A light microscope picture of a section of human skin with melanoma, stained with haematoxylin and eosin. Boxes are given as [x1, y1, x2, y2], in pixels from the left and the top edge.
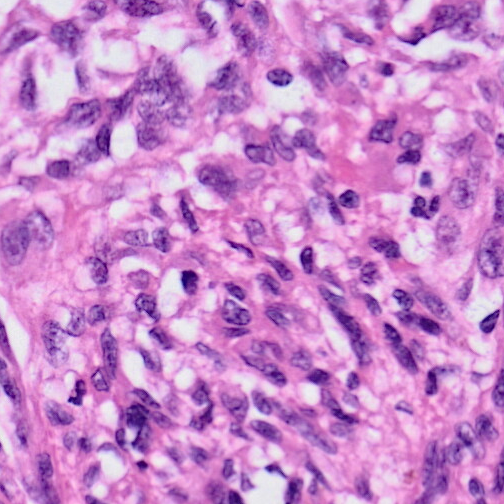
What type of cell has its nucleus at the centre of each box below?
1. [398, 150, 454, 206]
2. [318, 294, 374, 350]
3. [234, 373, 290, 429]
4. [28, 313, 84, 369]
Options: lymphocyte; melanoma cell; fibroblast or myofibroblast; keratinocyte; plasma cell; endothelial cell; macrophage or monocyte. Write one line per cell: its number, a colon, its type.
1: lymphocyte
2: melanoma cell
3: melanoma cell
4: melanoma cell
